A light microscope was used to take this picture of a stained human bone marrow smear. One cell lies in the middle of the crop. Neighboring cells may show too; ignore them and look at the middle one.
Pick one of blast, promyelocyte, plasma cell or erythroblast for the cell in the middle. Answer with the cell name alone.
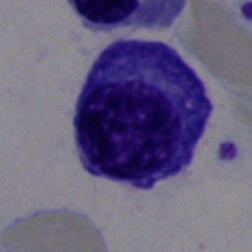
plasma cell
